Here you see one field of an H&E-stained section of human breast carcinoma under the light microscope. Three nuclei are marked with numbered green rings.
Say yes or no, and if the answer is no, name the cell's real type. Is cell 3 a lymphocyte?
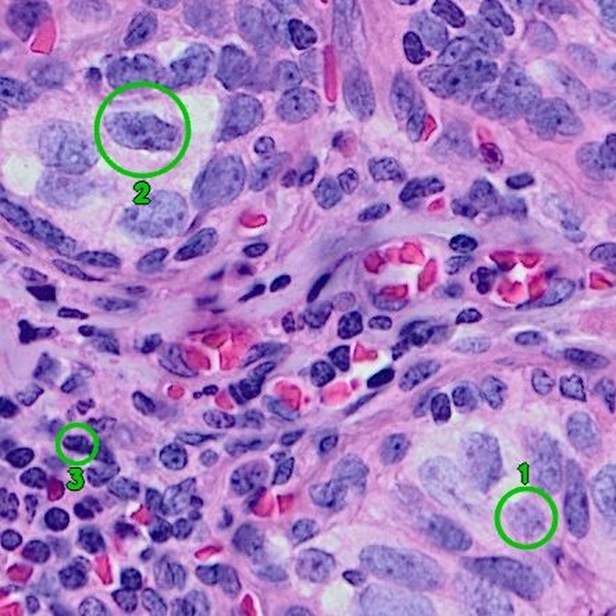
Yes.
